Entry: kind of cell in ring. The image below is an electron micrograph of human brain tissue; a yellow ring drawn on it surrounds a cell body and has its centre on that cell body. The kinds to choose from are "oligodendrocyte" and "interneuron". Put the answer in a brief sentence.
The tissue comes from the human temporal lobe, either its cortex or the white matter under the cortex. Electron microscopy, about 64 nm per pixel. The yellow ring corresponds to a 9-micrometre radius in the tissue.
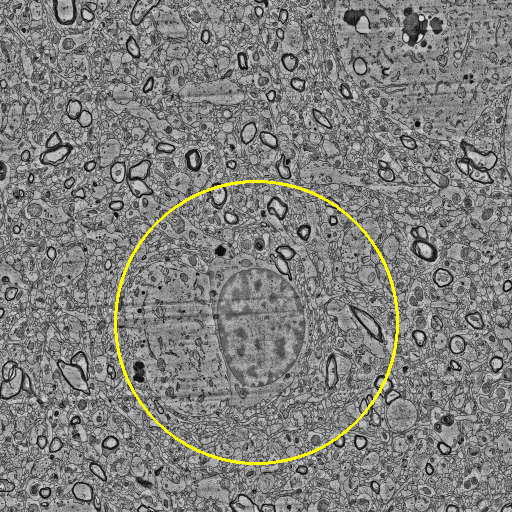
The ring has been drawn around an oligodendrocyte.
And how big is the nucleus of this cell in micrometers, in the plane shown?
In this plane the nucleus measures roughly 8 by 6 micrometers.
